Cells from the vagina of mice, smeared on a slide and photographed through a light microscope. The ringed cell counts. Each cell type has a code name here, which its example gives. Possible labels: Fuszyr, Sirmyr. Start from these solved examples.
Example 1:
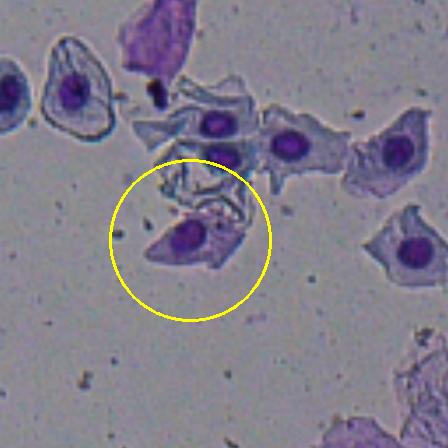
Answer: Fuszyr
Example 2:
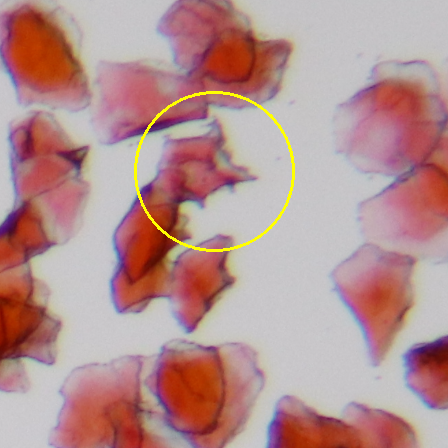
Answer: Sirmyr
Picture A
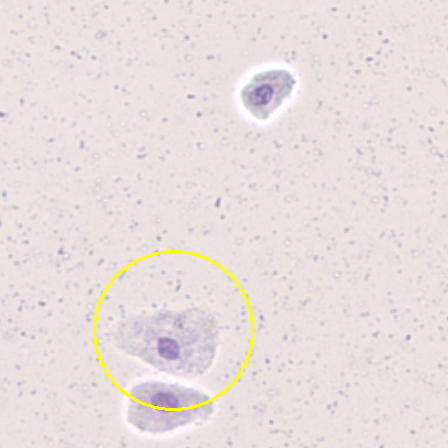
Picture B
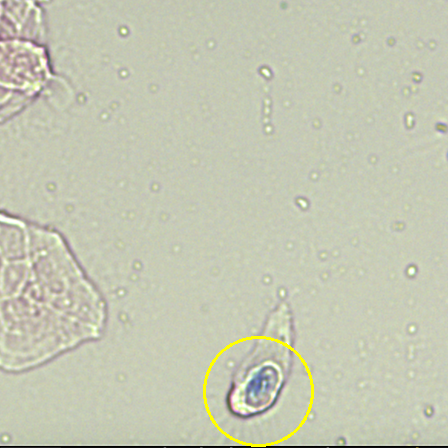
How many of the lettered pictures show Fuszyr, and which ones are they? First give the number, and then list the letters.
Count: 2 (A, B)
